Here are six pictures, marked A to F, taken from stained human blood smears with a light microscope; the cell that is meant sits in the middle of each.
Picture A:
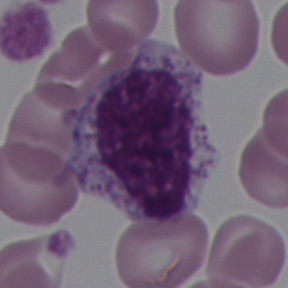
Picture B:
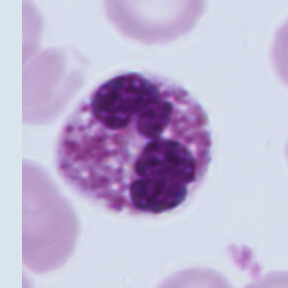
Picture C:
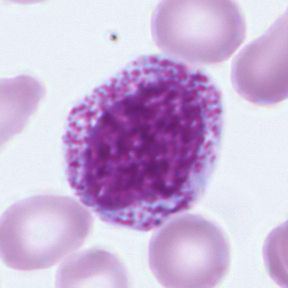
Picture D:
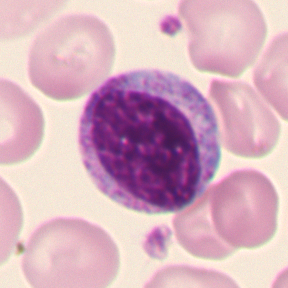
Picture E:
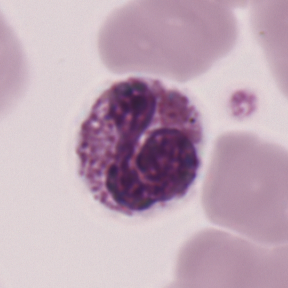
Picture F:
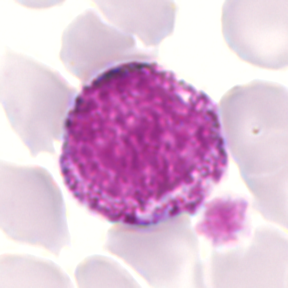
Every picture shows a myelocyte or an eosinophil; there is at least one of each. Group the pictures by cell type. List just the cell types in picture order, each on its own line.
myelocyte
eosinophil
myelocyte
myelocyte
eosinophil
myelocyte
